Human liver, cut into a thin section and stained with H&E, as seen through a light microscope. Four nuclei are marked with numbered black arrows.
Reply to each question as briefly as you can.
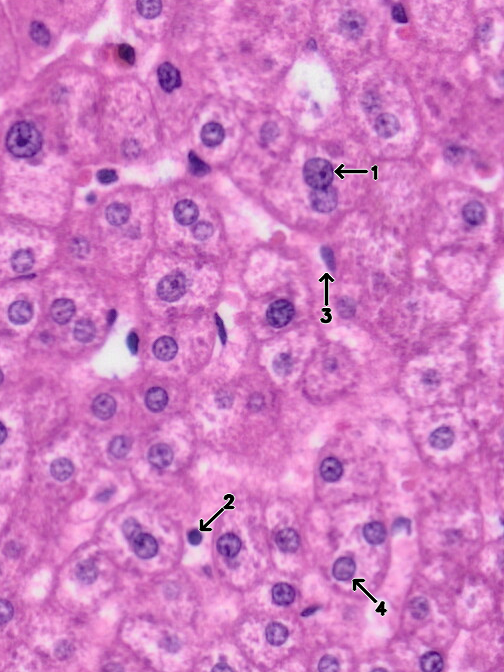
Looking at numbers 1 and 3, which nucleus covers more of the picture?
1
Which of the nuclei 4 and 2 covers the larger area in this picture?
4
